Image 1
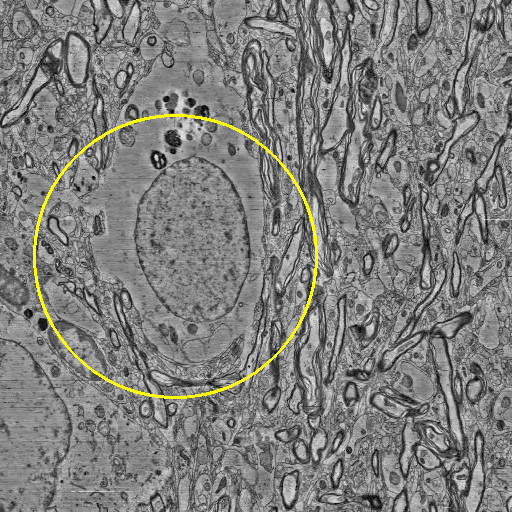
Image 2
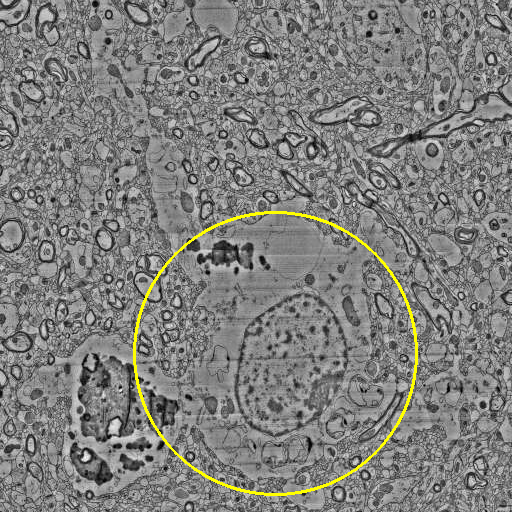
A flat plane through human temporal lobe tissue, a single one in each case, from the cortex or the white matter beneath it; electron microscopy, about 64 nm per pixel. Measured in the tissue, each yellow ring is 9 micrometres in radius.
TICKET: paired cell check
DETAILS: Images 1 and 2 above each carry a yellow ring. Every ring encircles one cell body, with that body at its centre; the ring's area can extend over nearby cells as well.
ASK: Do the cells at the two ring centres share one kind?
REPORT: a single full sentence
Yes, the ring-centre cells of Images 1 and 2 belong to a single kind.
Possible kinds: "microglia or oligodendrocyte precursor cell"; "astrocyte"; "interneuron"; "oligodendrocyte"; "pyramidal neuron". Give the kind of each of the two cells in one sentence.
Both the first and the second picture show an astrocyte in the ring.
